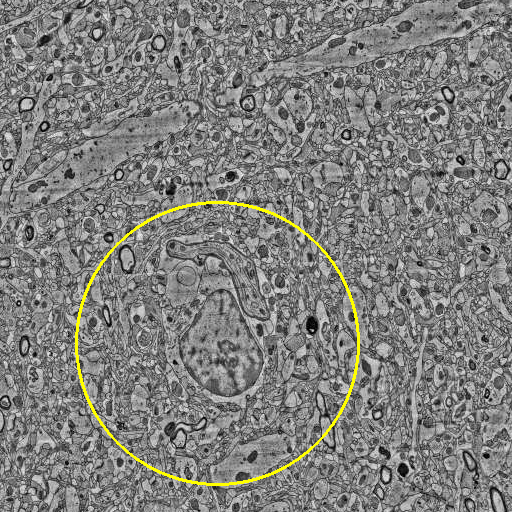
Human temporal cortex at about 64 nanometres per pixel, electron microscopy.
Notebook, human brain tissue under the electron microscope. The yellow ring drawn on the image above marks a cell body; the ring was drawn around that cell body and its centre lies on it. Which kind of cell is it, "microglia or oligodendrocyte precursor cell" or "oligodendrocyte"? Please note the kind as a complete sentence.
The marked cell body is that of a microglial cell or oligodendrocyte precursor cell.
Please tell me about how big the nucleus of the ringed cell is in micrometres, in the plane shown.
Approximately 7 micrometres long and 5 micrometres wide, in this plane.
